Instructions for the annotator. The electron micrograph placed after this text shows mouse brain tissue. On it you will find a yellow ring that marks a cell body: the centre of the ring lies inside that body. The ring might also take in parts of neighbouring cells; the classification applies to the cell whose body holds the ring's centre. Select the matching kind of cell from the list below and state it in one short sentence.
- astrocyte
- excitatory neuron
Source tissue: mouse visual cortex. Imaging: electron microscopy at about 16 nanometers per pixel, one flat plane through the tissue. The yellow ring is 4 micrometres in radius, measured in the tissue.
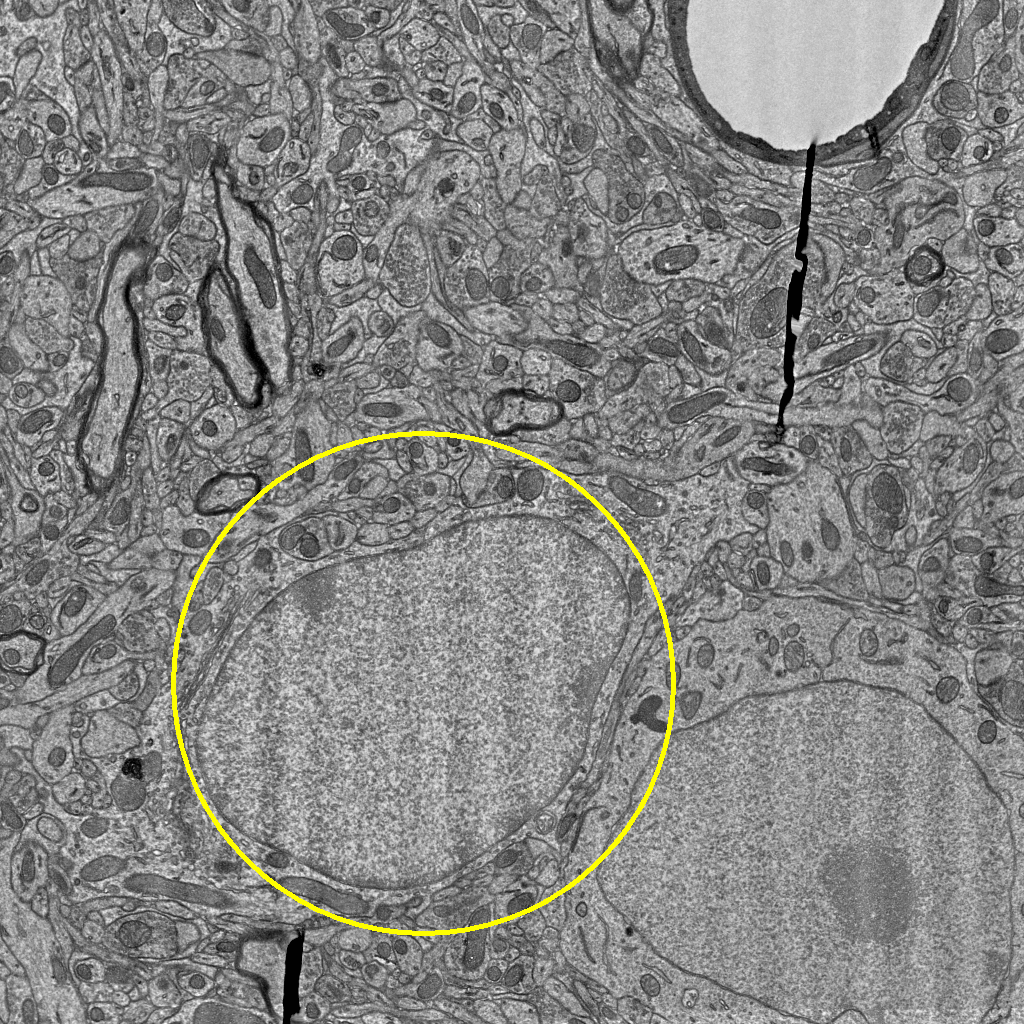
The centre of the ring lies in the cell body of an astrocyte.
